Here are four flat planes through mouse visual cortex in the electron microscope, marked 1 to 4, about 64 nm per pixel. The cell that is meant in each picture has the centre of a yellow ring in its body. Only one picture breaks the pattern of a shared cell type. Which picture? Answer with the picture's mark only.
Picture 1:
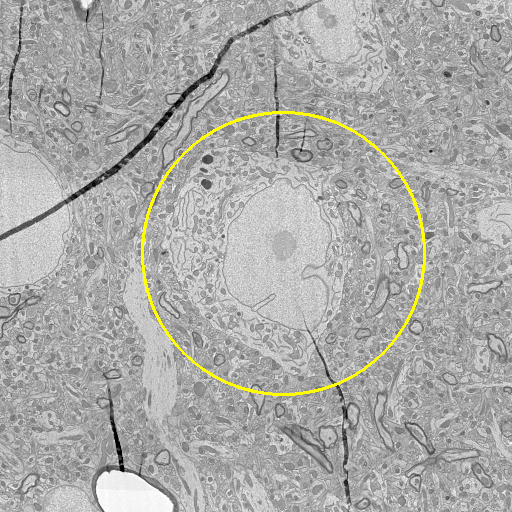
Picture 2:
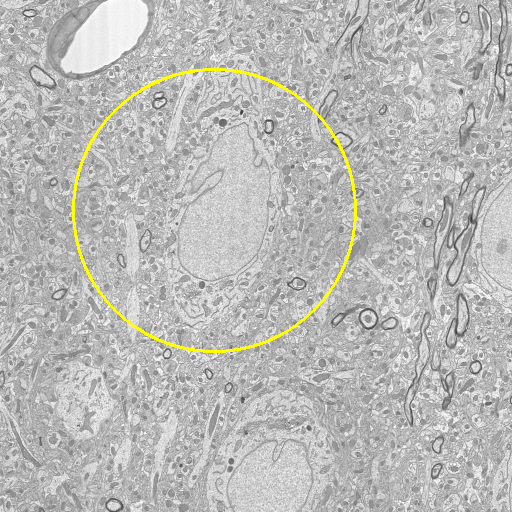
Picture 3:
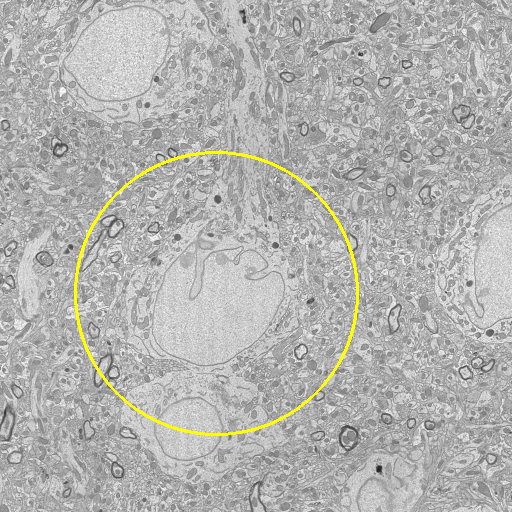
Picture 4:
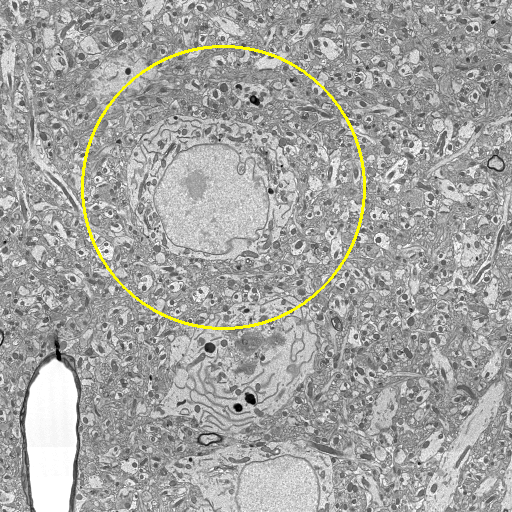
3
